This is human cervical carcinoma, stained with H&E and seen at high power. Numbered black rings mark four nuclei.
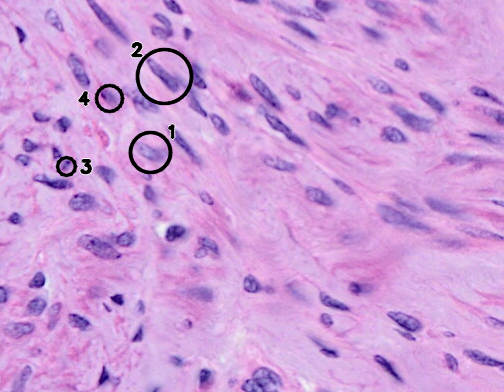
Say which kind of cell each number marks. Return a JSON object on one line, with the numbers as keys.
{"1": "smooth muscle cell", "2": "fibroblast", "3": "smooth muscle cell", "4": "smooth muscle cell"}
